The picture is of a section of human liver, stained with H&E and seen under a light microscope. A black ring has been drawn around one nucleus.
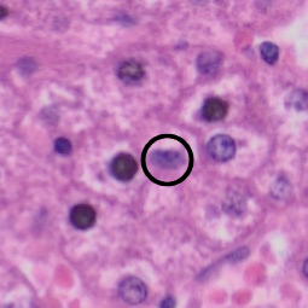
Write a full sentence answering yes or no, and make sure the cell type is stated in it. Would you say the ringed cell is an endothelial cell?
Yes, the identification stands: the ringed cell is an endothelial cell.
